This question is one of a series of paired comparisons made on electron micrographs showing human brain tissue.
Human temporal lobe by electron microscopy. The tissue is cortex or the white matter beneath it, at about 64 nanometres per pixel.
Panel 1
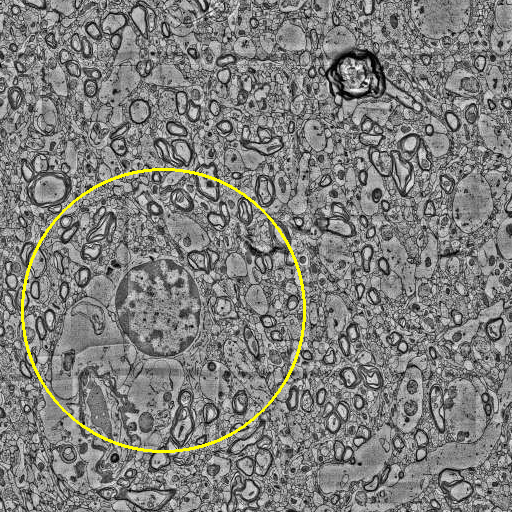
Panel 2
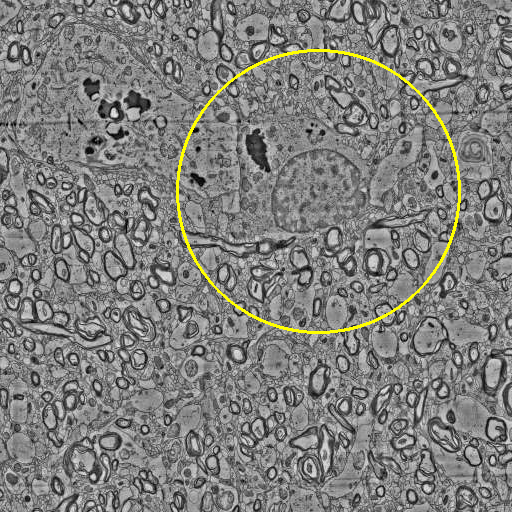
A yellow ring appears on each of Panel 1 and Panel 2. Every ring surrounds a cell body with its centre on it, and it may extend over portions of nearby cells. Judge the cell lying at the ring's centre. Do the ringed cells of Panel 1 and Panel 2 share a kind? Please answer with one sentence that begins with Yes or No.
No, the ring-centre cell in Panel 1 and the one in Panel 2 are of two kinds.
